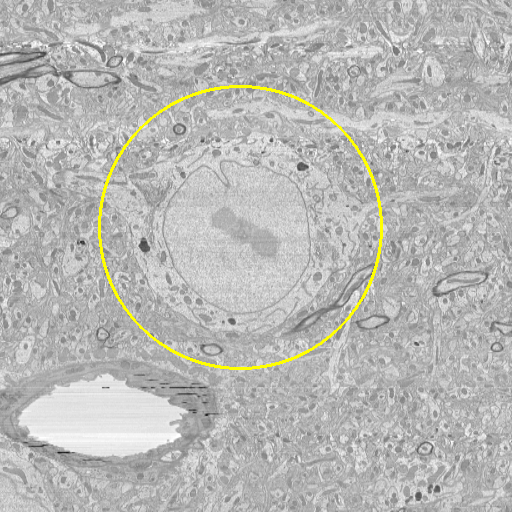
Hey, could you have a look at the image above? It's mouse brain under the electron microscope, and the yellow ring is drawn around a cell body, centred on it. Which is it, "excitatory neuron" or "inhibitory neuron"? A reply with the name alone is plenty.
excitatory neuron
